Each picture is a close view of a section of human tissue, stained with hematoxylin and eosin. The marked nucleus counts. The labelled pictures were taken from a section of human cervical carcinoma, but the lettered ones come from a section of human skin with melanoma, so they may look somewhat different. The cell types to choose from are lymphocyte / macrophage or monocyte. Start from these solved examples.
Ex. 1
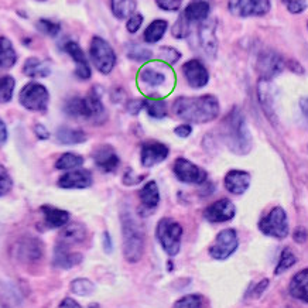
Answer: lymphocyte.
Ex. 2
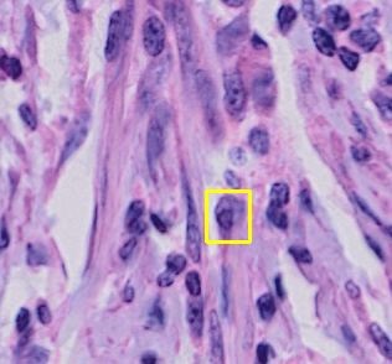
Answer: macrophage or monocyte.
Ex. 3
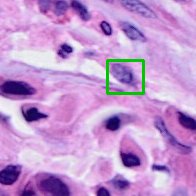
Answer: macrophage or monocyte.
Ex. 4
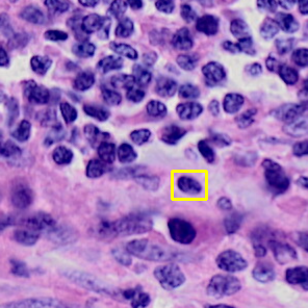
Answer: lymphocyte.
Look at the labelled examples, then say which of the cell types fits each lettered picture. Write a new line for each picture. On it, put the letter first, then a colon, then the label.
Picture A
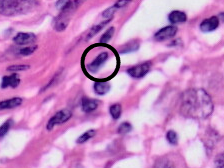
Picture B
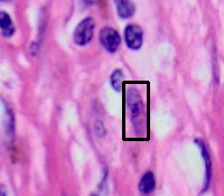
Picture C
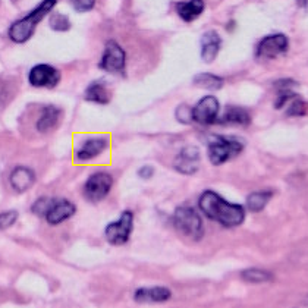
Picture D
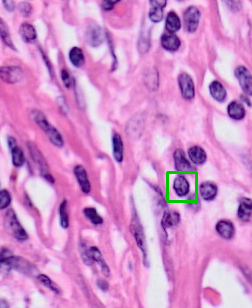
A: lymphocyte.
B: macrophage or monocyte.
C: macrophage or monocyte.
D: lymphocyte.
